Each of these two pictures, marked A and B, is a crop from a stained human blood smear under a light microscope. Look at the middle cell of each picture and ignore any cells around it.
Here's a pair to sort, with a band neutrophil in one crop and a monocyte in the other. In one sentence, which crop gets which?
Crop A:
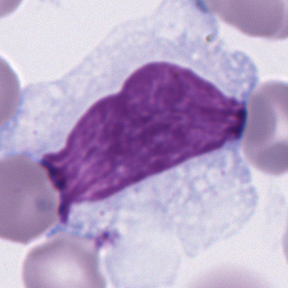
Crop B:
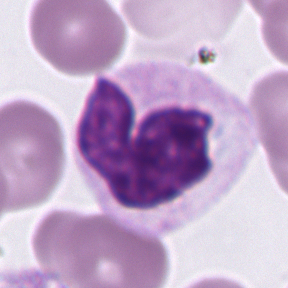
Crop A is a monocyte and crop B is a band neutrophil.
